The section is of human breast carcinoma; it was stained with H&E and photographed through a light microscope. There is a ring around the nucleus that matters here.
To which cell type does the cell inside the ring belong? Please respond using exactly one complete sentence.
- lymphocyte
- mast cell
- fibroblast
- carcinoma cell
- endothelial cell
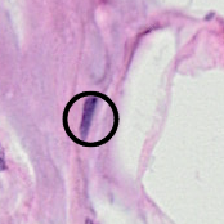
In this section of tissue, the cell inside the ring is a fibroblast.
